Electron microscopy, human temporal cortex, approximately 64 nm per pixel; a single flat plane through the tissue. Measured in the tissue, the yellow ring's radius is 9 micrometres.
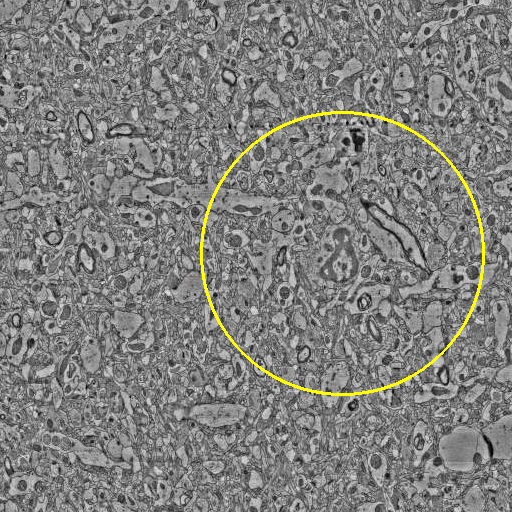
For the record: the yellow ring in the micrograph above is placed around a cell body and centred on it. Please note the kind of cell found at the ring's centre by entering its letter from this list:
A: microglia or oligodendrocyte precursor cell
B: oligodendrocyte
A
